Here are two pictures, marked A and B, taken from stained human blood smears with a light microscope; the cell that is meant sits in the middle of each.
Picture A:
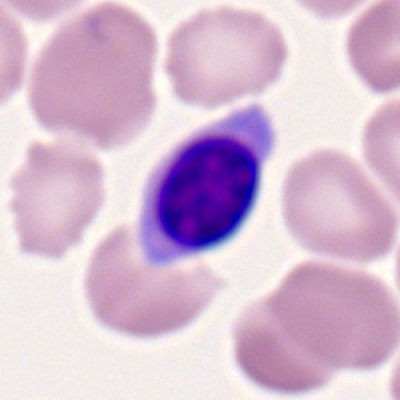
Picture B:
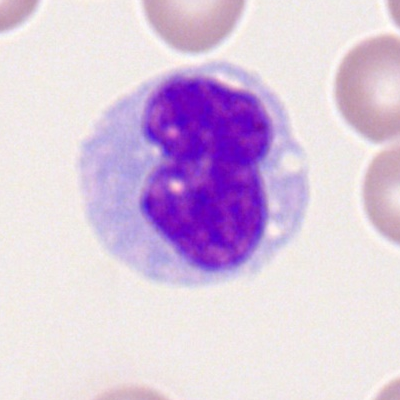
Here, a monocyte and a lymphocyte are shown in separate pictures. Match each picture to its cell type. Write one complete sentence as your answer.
The cell in picture A is a lymphocyte, and the one in picture B is a monocyte.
